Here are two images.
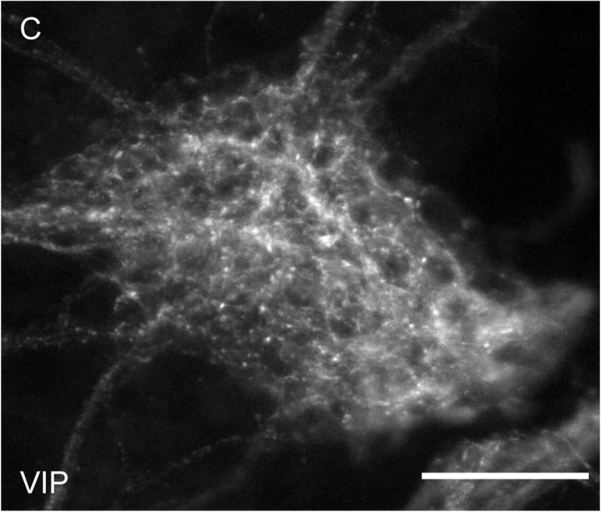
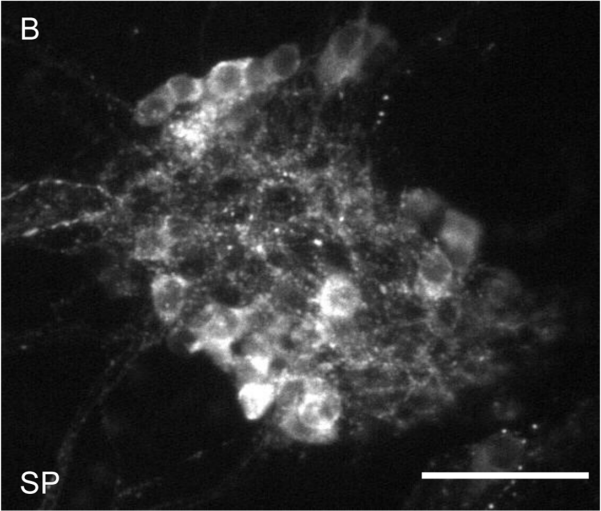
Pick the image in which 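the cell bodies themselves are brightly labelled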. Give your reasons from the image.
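The second image. First image: labelling is a meshwork of fine beaded threads, with cell bodies left dim. Second image: many rounded cell bodies are filled with bright labelling around dark nuclei.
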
